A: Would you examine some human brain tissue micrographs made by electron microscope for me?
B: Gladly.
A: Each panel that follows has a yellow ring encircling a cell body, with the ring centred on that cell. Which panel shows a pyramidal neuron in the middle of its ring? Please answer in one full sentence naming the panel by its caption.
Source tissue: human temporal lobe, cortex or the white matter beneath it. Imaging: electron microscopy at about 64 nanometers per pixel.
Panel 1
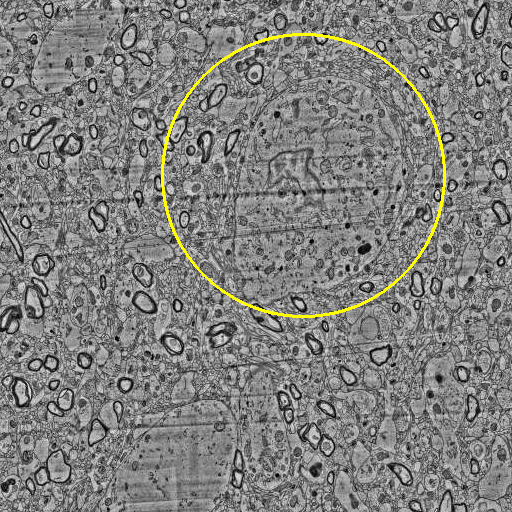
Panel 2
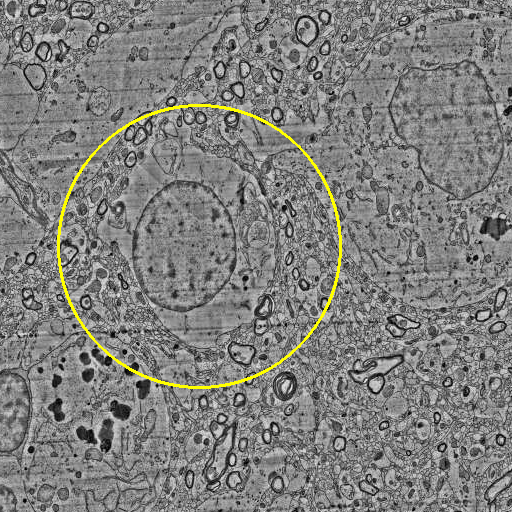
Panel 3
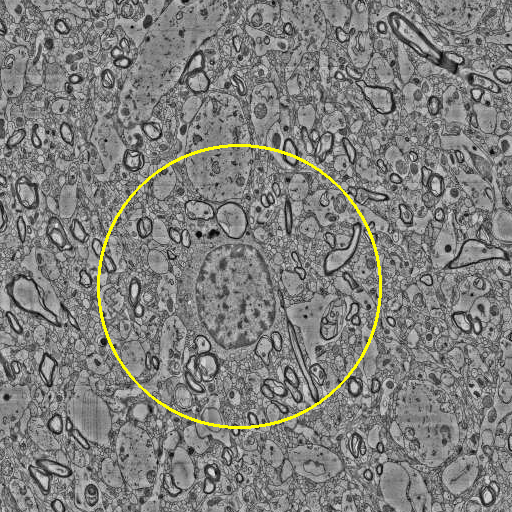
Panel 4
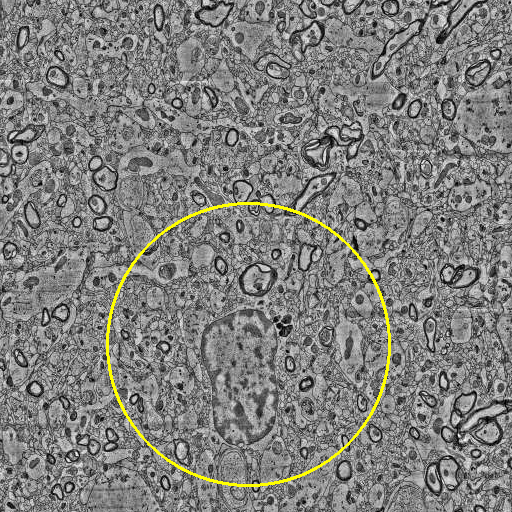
Panel 1 is where the ring sits centred on the requested cell.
